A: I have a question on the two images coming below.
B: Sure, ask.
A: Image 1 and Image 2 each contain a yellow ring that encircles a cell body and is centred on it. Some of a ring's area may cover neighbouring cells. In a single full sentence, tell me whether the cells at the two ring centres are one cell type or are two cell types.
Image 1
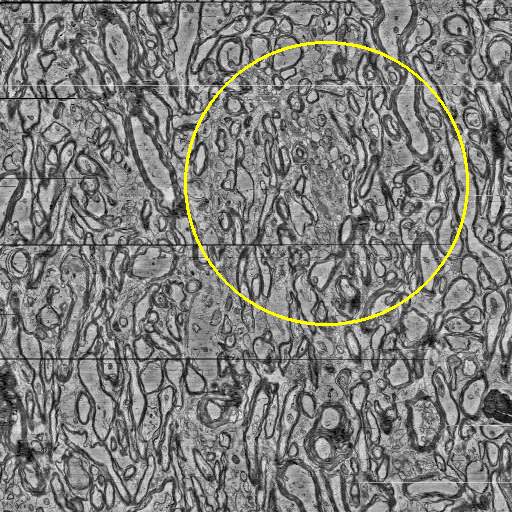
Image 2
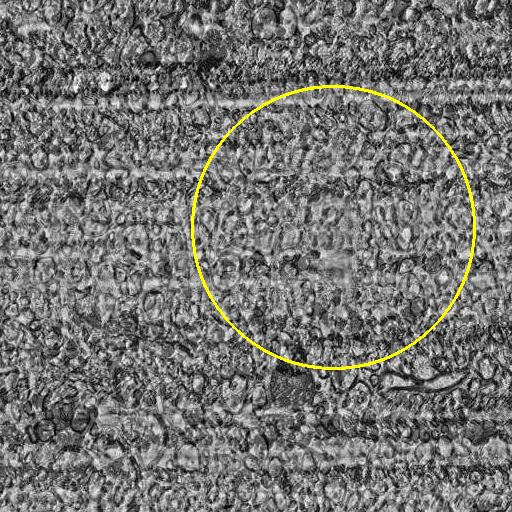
As for the ring-centre cells, the one in Image 1 and the one in Image 2 are one cell type.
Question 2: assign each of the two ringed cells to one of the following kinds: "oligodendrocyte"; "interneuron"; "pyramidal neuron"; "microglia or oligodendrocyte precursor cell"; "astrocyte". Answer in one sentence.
Each of the two rings surrounds an astrocyte.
